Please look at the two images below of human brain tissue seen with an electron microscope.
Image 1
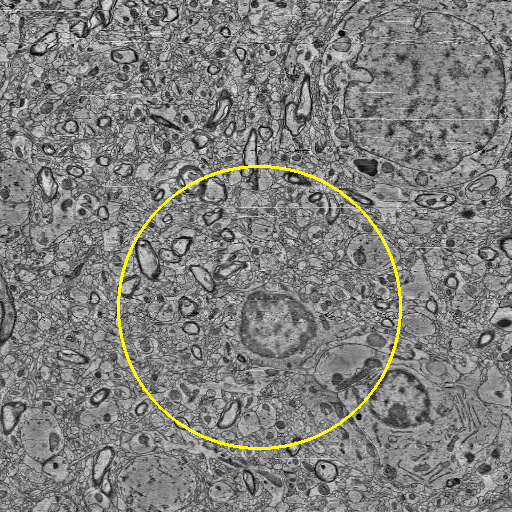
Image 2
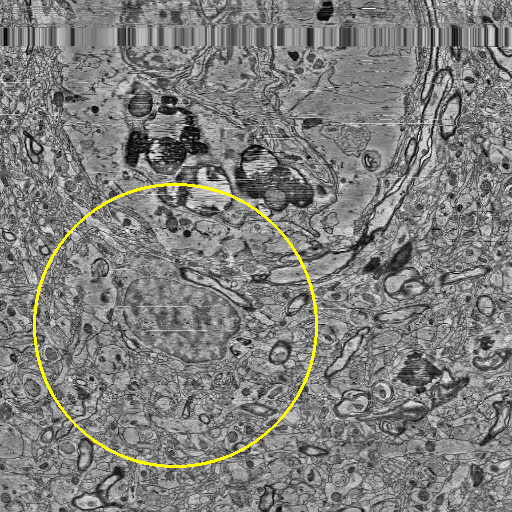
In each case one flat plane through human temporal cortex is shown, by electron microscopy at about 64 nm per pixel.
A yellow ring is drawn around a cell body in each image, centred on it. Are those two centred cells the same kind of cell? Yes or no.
yes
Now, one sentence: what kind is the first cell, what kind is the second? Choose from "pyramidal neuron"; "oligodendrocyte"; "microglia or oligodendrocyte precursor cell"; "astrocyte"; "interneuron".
Each one of the two ringed cells is an oligodendrocyte.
